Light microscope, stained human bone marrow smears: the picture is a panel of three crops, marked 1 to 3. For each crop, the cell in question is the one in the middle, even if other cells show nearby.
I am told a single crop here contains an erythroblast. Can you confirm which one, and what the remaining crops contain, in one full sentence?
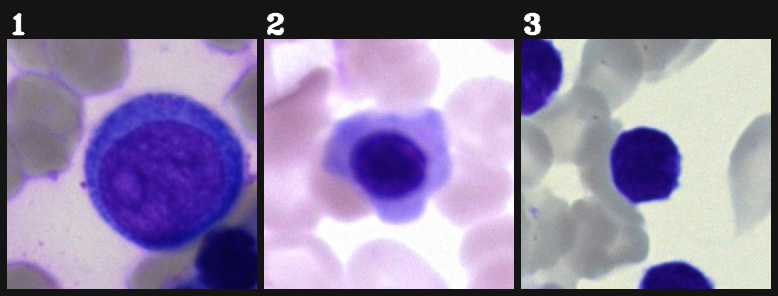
Crop 2 is an erythroblast and, for the others, crop 1 is a blast and crop 3 is a lymphocyte.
